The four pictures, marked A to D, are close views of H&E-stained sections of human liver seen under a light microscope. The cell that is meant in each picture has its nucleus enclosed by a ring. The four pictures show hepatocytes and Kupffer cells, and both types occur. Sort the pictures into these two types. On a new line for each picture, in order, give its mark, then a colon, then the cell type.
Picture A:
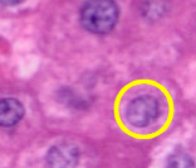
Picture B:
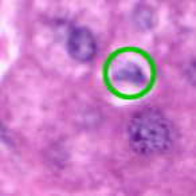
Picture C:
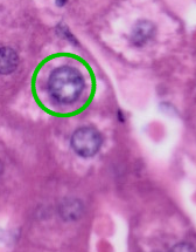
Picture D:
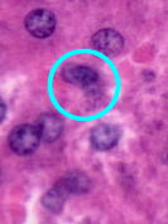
A: hepatocyte
B: Kupffer cell
C: hepatocyte
D: Kupffer cell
